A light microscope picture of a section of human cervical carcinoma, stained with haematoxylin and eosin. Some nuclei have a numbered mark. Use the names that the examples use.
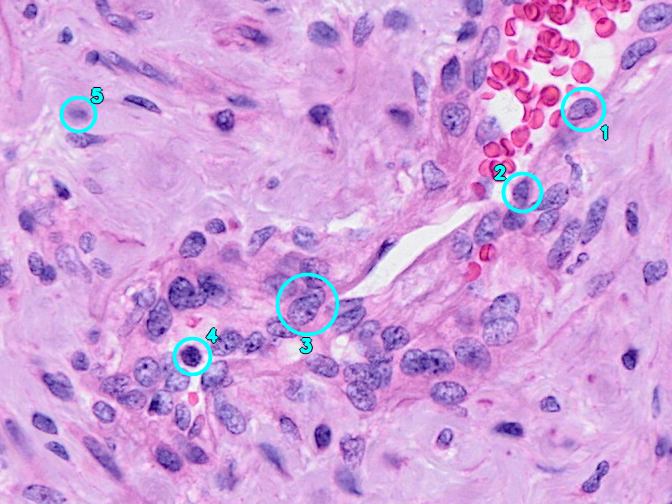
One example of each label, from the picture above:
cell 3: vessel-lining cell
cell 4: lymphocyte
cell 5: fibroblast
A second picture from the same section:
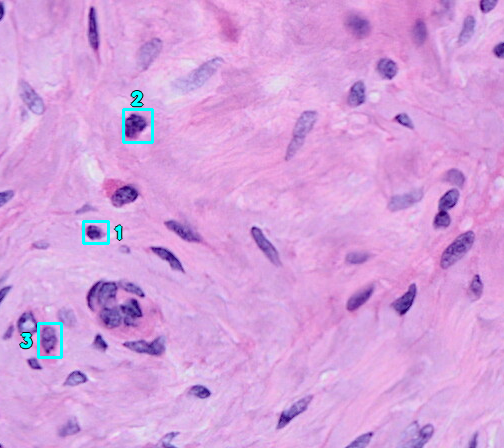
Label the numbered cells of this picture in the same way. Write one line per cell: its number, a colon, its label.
1: fibroblast
2: lymphocyte
3: vessel-lining cell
